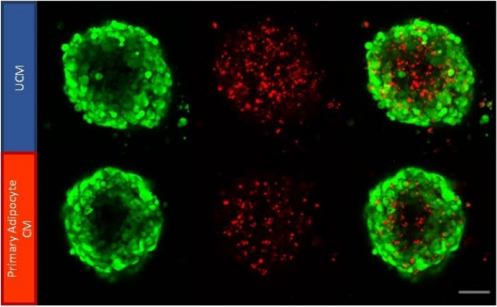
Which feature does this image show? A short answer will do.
Spheroids.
